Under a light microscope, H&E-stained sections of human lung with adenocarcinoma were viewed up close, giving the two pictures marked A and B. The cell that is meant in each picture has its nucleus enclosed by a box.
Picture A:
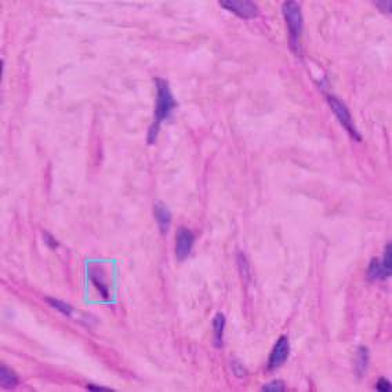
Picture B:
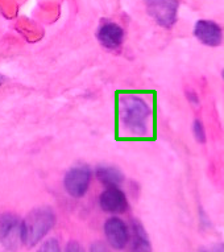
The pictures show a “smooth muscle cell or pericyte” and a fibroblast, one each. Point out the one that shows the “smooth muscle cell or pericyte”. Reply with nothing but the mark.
A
